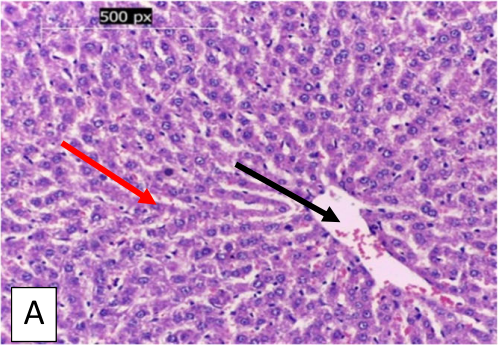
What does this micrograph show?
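Liver tissue with plates of hepatocytes radiating from a central vein. The cells are polygonal, with evenly pink cytoplasm and round, centrally placed, purple nuclei, some showing a visible nucleolus. The plates are one to two cells thick and separated by narrow, clear channels, the sinusoids, which run toward the vein. The vein itself is a thin-walled, elongated lumen containing a few scattered red blood cells. No clustering of inflammatory cells, no clearing of the cytoplasm and no crowding of the spaces with blood is seen; the architecture looks regular and orderly throughout.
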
